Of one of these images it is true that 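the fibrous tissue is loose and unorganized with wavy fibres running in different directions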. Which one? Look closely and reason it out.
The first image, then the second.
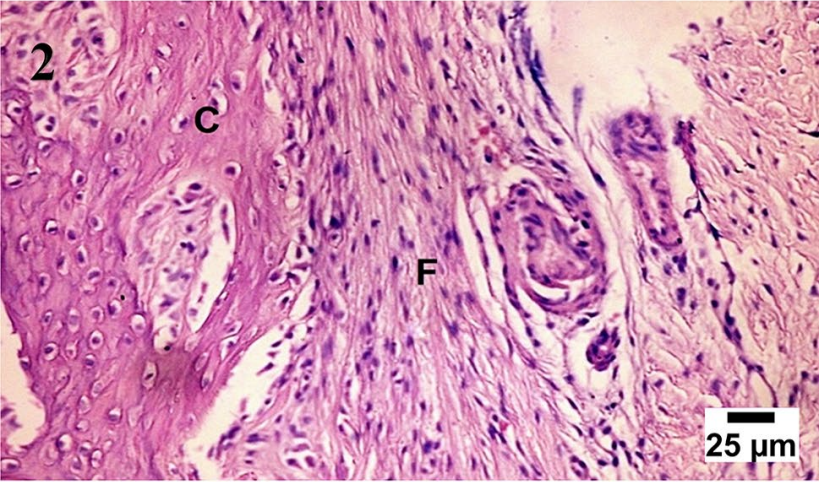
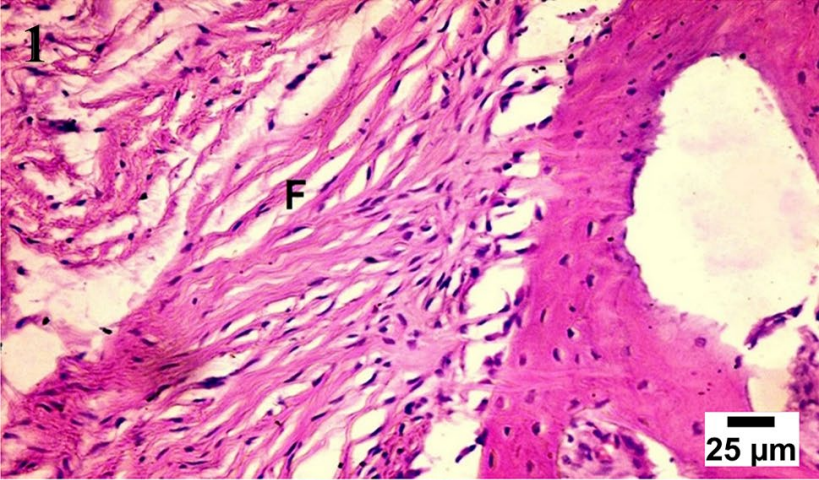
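The second image. First image: fibres and nuclei are aligned in dense parallel bundles. Second image: fibres are wavy, loosely packed and run in several directions with gaps between them.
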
